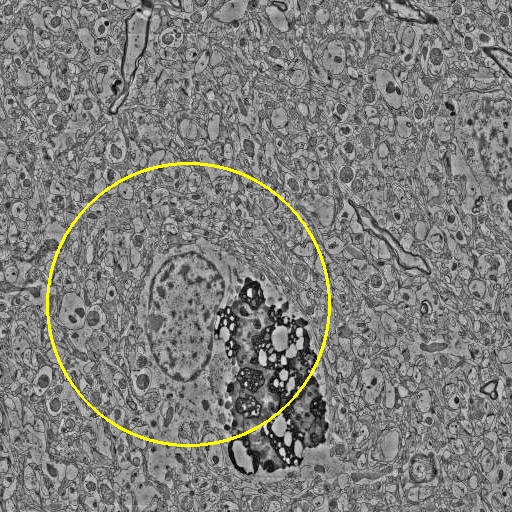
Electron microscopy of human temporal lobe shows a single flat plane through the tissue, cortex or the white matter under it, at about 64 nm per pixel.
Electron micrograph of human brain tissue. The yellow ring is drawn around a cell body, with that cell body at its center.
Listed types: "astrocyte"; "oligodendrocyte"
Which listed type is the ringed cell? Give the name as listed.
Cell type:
astrocyte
